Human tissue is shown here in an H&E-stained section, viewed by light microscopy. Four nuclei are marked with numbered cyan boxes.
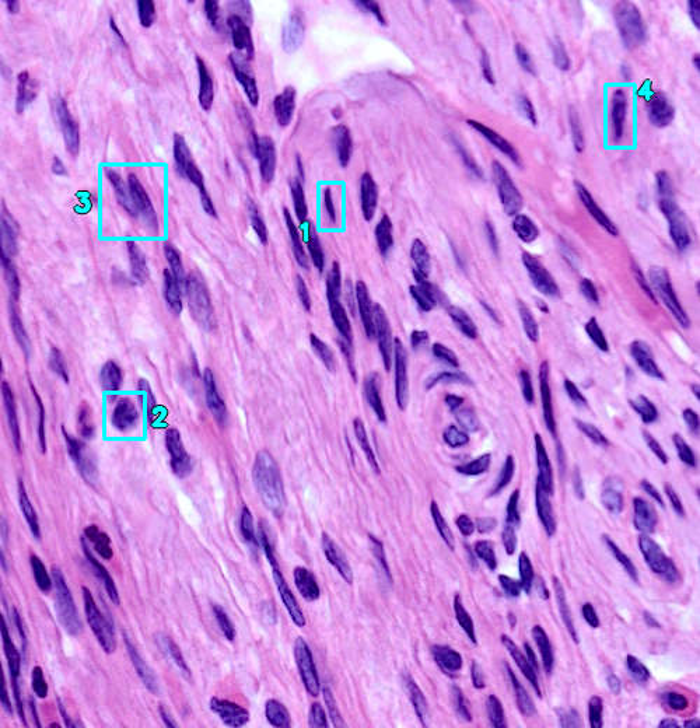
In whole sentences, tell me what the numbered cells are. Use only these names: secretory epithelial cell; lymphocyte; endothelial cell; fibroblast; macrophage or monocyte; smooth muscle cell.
Cells 1 and 4 are fibroblasts. Cell 2 is a lymphocyte. Cell 3 is an endothelial cell.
